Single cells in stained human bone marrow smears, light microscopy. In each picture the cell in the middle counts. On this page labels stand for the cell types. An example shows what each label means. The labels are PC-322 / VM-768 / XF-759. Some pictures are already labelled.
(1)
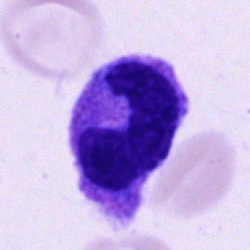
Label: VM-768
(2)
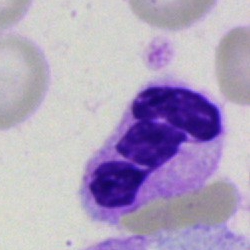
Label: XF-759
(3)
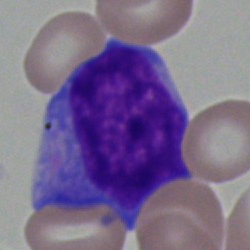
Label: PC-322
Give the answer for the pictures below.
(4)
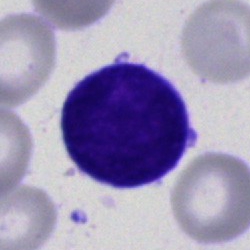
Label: PC-322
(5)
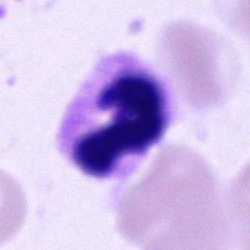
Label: XF-759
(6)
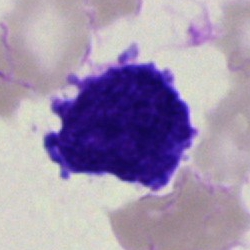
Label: PC-322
